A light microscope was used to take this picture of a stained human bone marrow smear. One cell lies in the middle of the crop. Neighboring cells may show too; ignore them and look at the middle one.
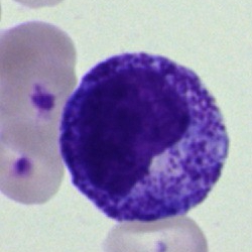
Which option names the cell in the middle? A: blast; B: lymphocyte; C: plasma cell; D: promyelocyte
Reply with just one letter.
D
